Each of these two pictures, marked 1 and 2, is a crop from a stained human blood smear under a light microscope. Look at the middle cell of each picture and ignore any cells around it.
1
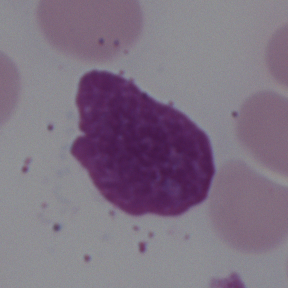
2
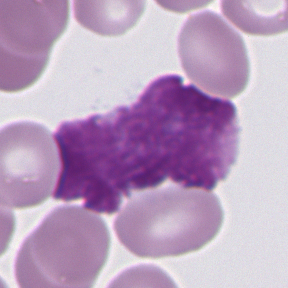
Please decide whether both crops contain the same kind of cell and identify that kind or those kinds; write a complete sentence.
Yes, it is smudge cells that both crops show.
